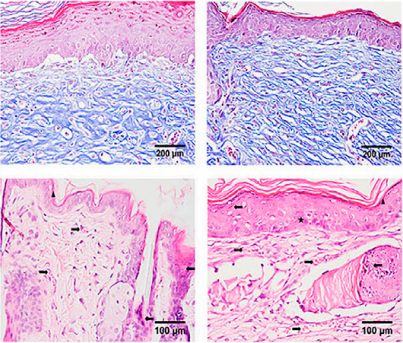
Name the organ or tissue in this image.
Skin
